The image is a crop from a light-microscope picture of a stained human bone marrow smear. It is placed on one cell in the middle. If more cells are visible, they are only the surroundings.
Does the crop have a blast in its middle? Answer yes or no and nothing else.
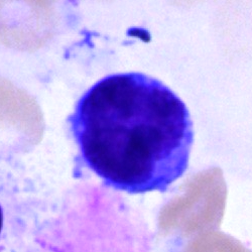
yes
